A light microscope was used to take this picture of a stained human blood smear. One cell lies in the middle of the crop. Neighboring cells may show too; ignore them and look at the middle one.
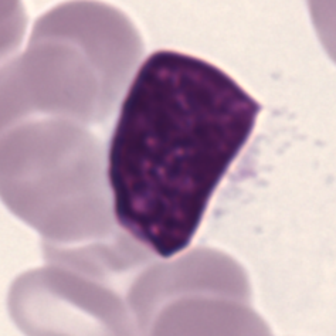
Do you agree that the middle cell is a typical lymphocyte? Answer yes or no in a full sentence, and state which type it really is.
No, the cell in the middle of the field is a smudge cell, not a typical lymphocyte as suggested.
